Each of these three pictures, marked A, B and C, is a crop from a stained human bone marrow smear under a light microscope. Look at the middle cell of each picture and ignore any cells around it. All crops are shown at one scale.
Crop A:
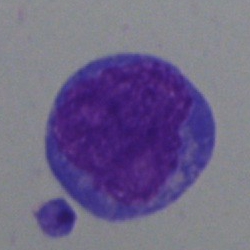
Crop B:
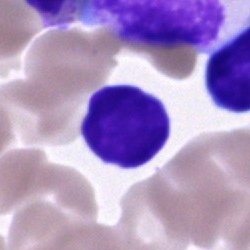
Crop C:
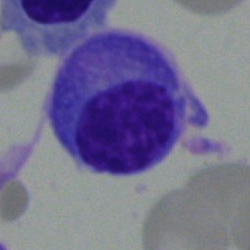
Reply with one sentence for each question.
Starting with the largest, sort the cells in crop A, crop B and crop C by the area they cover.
Largest first: A, C, B.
